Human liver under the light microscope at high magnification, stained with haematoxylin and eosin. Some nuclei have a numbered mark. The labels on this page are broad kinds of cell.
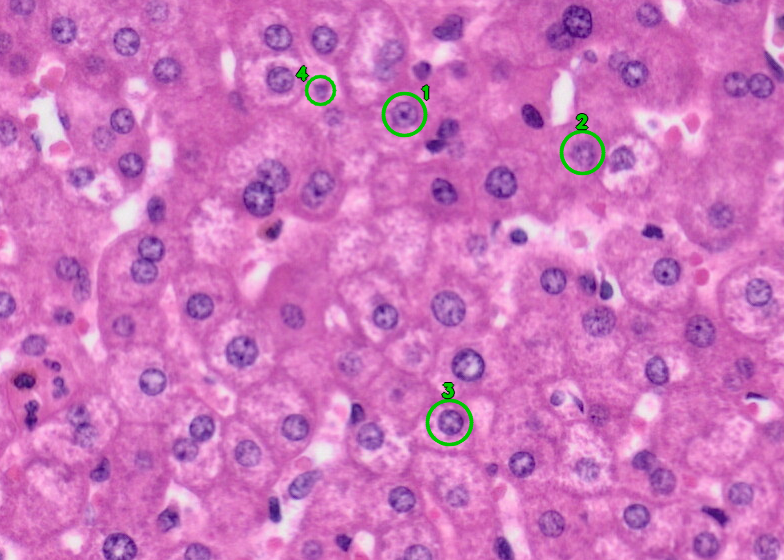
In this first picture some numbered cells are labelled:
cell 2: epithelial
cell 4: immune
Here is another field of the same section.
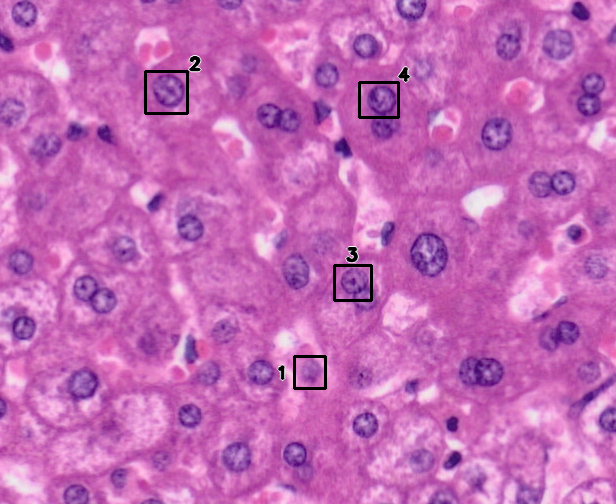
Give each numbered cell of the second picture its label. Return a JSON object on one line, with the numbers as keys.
{"1": "immune", "2": "epithelial", "3": "epithelial", "4": "epithelial"}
